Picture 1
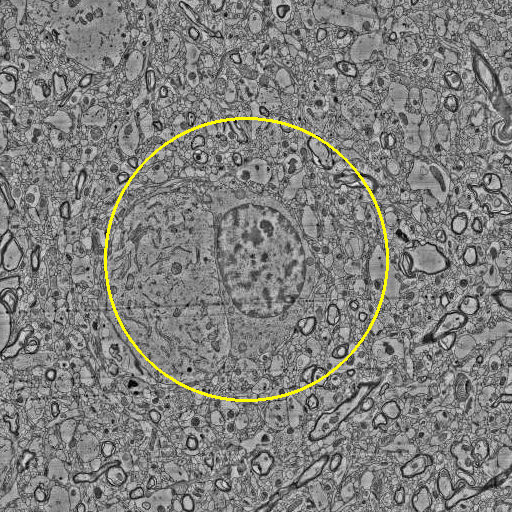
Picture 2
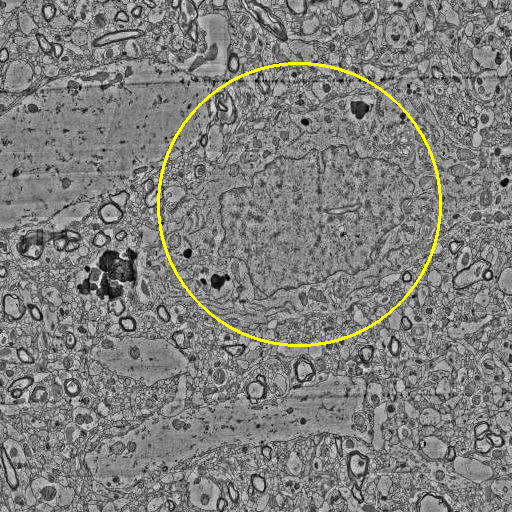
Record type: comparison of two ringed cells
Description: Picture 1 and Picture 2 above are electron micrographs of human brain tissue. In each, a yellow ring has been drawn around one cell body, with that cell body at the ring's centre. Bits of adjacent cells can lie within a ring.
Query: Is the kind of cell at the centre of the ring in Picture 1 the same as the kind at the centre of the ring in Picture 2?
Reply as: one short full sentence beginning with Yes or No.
No, the two ringed cells are of two separate kinds.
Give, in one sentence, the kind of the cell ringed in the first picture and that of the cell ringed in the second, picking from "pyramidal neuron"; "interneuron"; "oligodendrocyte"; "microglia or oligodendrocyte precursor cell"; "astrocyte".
For the first picture it is an oligodendrocyte; for the second, an interneuron.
